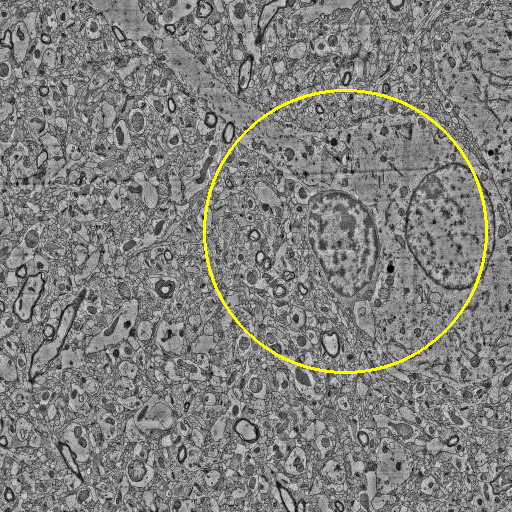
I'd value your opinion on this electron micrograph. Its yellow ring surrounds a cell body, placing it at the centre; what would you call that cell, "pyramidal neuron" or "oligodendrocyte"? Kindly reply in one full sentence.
It is an oligodendrocyte that sits centred within the yellow ring in this micrograph.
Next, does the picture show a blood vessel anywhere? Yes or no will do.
No, no blood vessel can be seen.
